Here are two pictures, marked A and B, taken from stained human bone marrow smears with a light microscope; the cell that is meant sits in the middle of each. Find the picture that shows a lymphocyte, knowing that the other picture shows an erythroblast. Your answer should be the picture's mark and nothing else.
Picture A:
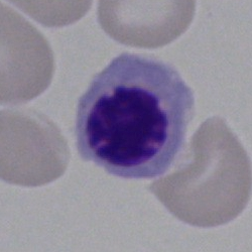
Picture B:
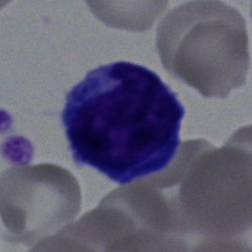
B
